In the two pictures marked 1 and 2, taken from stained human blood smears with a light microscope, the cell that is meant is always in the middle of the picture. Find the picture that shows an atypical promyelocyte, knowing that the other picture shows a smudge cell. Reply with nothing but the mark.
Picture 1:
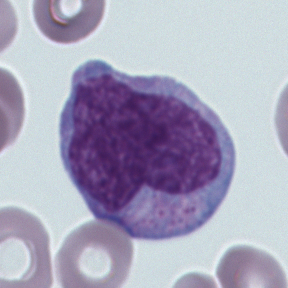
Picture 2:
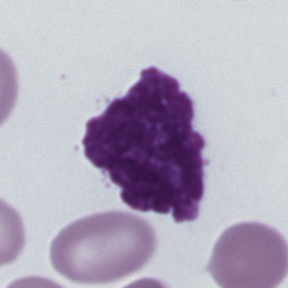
1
